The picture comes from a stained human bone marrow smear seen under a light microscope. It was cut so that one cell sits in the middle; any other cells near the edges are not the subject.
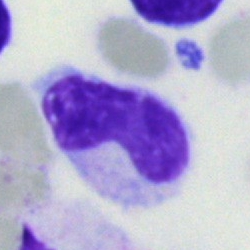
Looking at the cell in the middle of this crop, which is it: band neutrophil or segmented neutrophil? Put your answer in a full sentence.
The crop's centre is taken up by a band neutrophil.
